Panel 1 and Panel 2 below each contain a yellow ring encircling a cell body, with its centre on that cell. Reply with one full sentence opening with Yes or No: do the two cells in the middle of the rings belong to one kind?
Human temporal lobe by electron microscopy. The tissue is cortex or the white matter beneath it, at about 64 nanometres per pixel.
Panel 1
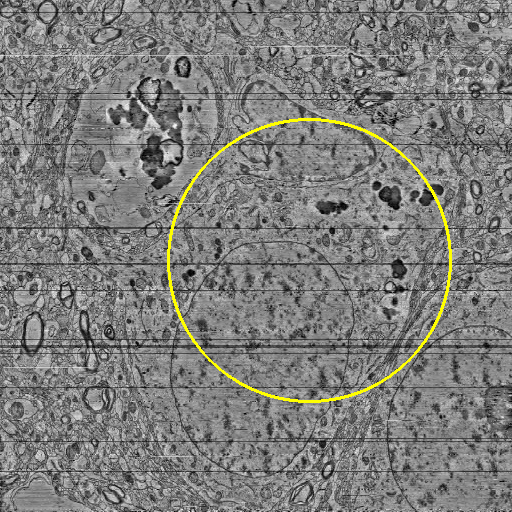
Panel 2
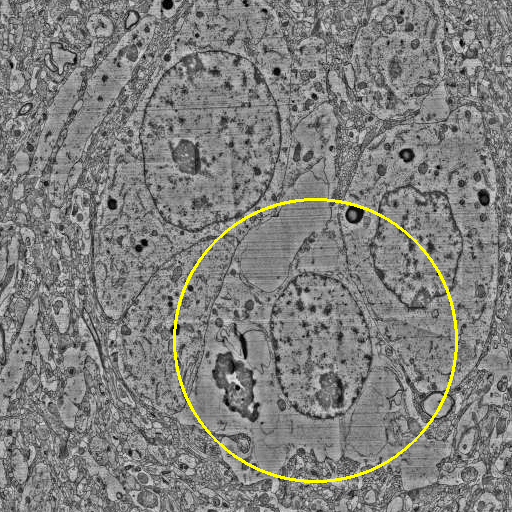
No, the cells at the middle of the Panel 1 ring and the Panel 2 ring are of two kinds.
